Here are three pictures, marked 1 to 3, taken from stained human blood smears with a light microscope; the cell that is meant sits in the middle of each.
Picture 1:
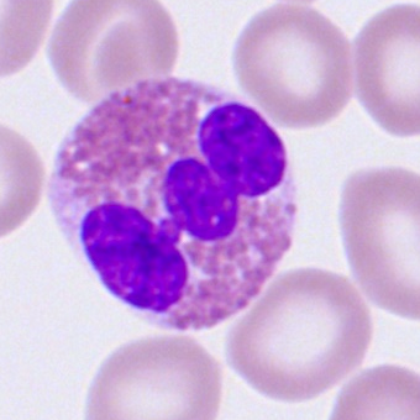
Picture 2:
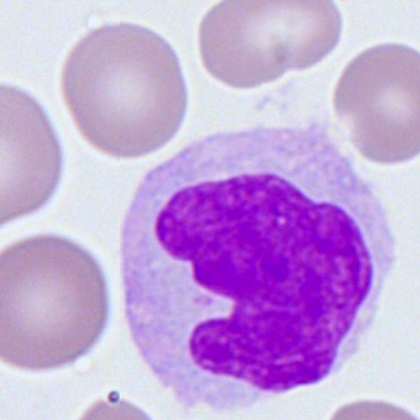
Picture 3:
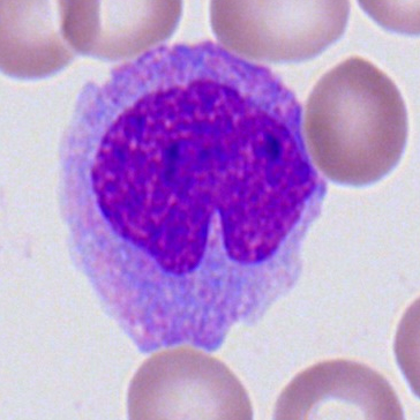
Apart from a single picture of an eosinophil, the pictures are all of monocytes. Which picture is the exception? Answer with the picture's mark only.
1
